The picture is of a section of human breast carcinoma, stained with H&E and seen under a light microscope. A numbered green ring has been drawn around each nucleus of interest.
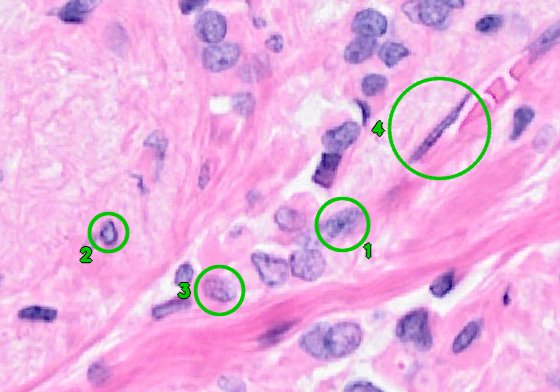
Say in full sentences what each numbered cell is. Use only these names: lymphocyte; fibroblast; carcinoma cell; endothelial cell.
Cell 1 is a fibroblast, cell 2 is an endothelial cell, cell 3 is a carcinoma cell and cell 4 is an endothelial cell.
